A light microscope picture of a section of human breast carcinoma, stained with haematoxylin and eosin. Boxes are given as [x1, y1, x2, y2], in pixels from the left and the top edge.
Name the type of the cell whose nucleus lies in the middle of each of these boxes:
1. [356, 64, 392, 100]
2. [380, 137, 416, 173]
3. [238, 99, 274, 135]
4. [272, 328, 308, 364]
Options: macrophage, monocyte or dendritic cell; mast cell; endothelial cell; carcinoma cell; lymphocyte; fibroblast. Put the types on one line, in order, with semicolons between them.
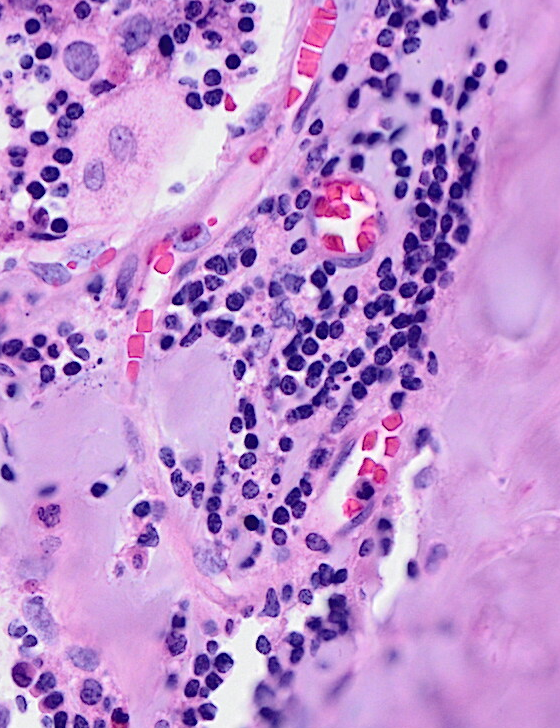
lymphocyte; lymphocyte; endothelial cell; lymphocyte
